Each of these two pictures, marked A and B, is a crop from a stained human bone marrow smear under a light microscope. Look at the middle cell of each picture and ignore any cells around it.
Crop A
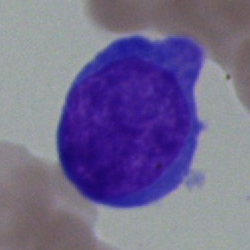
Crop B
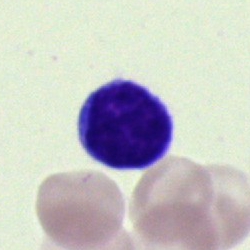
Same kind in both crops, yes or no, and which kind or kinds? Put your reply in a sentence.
No, within crop A lies a blast, and within crop B lies a lymphocyte.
